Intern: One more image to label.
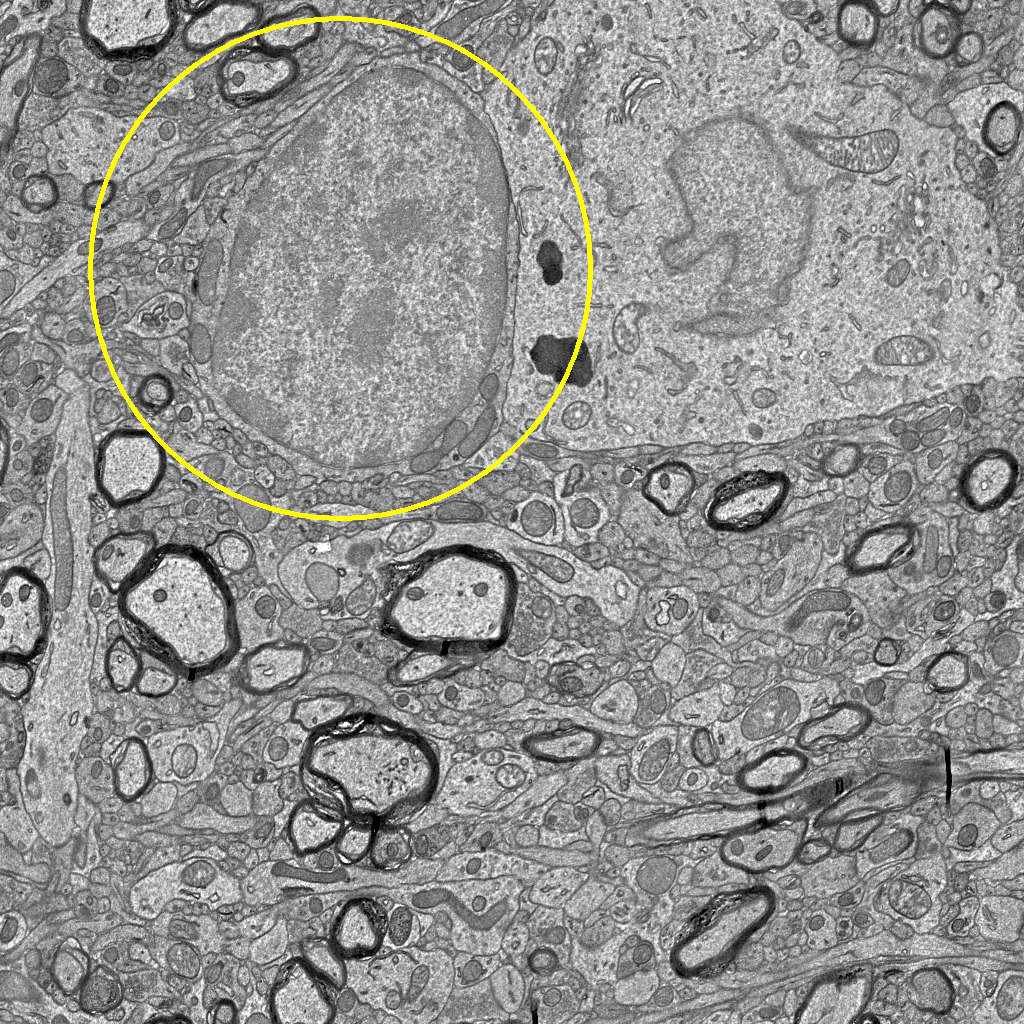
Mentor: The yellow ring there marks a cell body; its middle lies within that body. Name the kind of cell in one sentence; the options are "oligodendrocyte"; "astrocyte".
The ring marks the cell body of an oligodendrocyte.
